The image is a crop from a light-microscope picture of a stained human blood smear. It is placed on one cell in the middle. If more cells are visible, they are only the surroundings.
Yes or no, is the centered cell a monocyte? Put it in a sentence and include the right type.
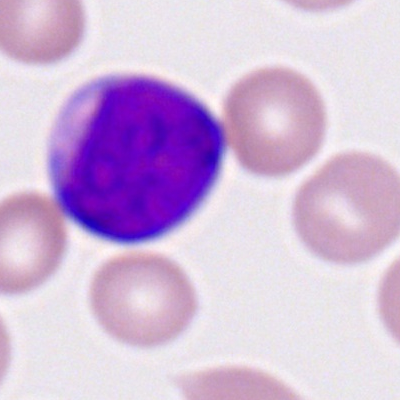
No, it is a blast rather than a monocyte that the middle of the crop contains.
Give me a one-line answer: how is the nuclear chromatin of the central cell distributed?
In this nucleus, the chromatin is arranged in coarse clumps.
